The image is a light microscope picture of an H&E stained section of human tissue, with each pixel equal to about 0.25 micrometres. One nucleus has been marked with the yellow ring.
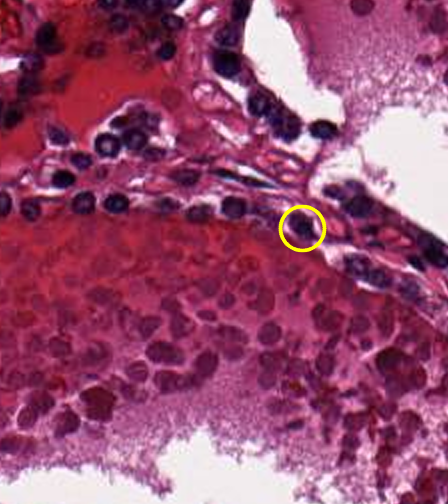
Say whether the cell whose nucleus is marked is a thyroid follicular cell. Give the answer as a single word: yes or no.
yes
